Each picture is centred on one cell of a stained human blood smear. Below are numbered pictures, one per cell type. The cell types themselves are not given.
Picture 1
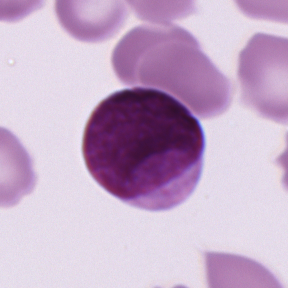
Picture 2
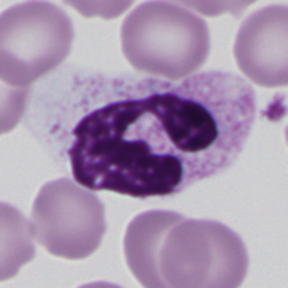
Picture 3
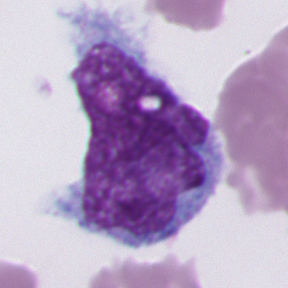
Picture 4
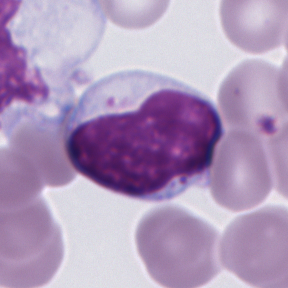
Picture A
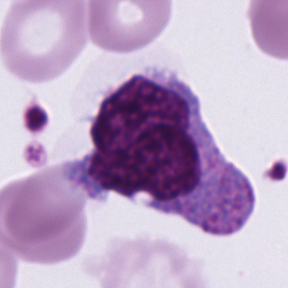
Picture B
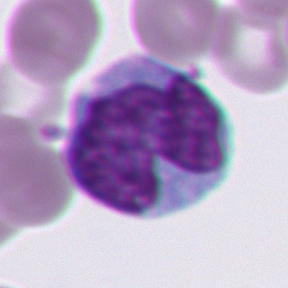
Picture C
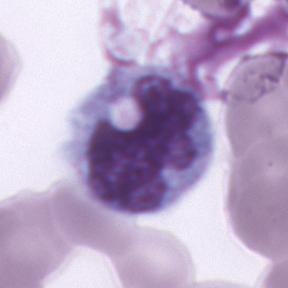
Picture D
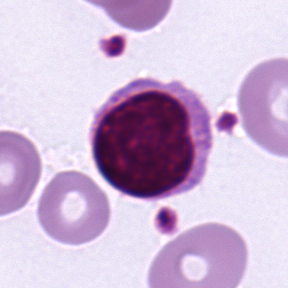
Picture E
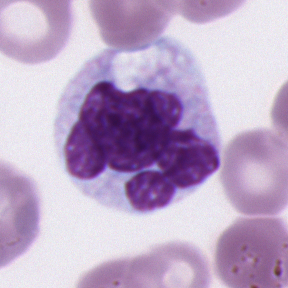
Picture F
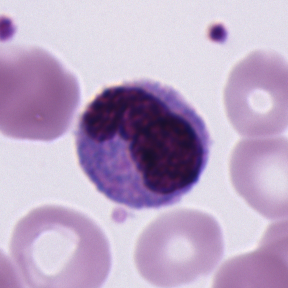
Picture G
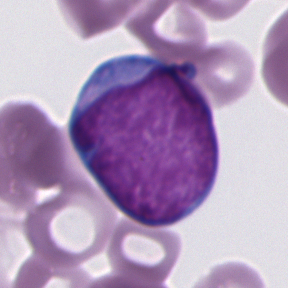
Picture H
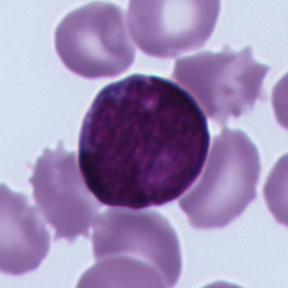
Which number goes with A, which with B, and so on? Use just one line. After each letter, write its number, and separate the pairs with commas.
A 3, B 3, C 3, D 4, E 3, F 3, G 1, H 1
